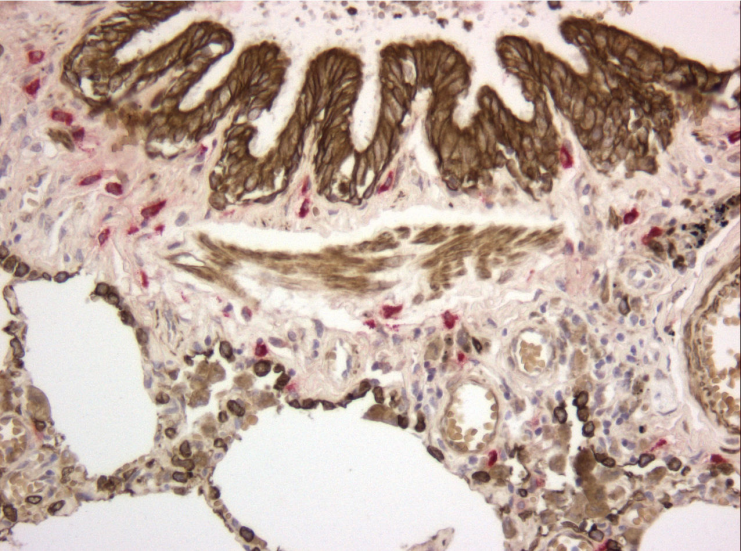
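Across the top runs a tall epithelium thrown into deep finger-like folds, its columnar cells stained dark golden brown with their outlines visible. Beneath it, separated by a narrow cleft, lies an elongated band of spindle-shaped brown cells arranged in parallel, the smooth muscle of the airway wall. At the bottom, thin alveolar walls bound large air spaces and carry small rounded brown cells bulging into the lumina, consistent with alveolar type 2 epithelial cells.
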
